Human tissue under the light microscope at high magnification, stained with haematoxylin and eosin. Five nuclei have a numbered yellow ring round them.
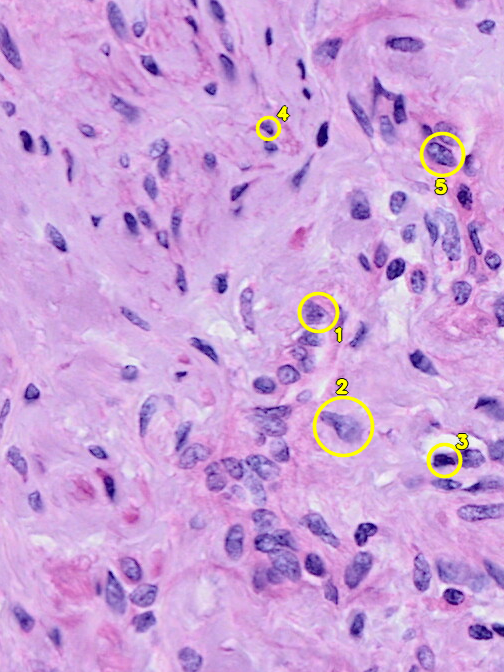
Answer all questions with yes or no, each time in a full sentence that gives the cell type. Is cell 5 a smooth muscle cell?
No, the one with number 5 is an endothelial cell, not a smooth muscle cell.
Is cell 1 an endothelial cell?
Yes, the cell numbered 1 in this tissue is an endothelial cell.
